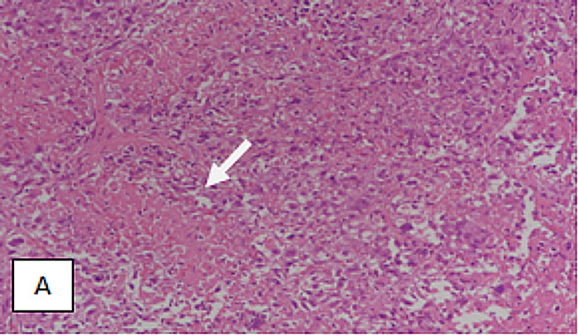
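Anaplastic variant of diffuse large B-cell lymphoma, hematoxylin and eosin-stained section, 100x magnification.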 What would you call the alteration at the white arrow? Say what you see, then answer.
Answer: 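The tissue around the arrow is pale pink with loosely spaced nuclei. So: necrosis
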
